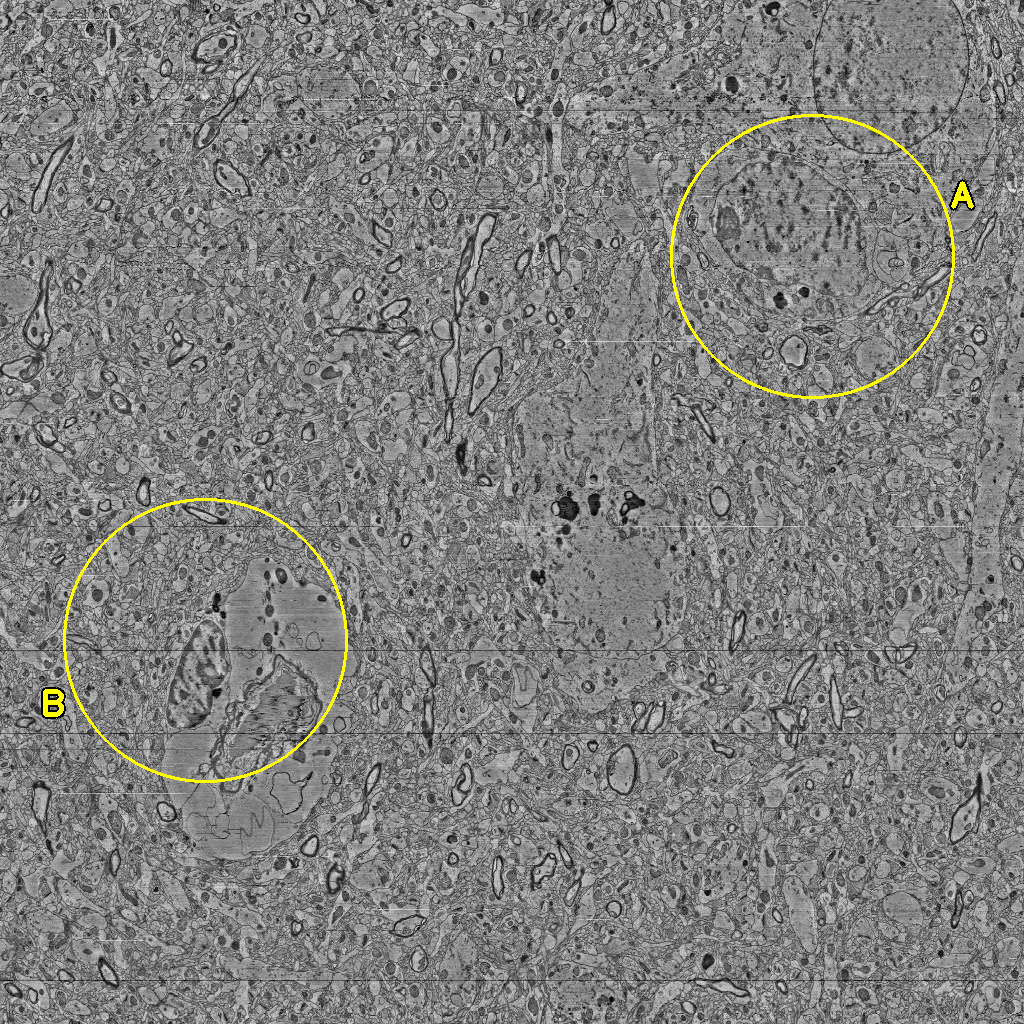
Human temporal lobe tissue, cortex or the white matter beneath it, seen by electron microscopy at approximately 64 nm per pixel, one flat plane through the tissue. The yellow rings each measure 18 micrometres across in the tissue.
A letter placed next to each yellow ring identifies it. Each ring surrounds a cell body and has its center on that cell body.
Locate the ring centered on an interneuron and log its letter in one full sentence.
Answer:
Ring A has at its center the cell that the task asks for.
